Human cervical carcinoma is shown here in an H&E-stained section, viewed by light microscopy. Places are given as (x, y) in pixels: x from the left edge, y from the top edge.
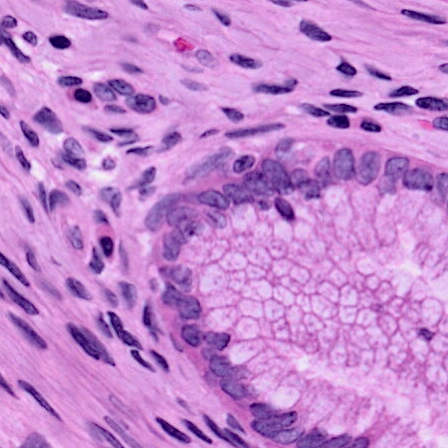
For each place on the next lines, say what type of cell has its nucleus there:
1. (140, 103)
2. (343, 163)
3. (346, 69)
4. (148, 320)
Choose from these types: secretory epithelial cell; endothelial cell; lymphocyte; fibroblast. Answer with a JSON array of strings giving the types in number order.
["endothelial cell", "secretory epithelial cell", "fibroblast", "fibroblast"]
